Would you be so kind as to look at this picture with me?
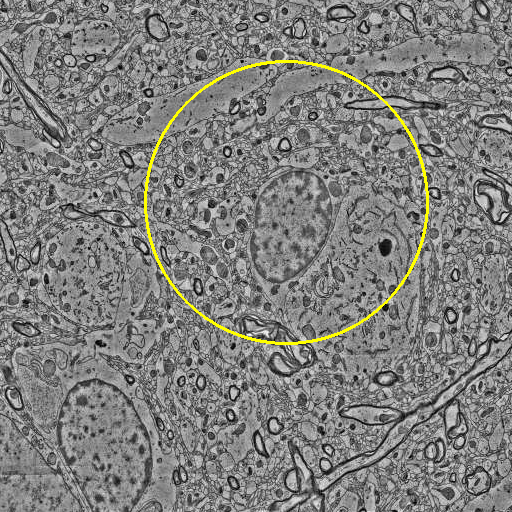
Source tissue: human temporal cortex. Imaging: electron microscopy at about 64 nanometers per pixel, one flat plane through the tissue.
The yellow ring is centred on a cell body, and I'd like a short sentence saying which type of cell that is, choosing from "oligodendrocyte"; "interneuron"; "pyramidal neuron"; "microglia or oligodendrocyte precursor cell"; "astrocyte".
The cell body in the ring belongs to an oligodendrocyte.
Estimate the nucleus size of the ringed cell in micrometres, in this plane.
The nucleus appears roughly 7 by 5 micrometres in this plane.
